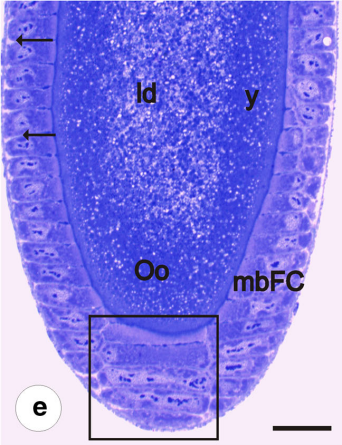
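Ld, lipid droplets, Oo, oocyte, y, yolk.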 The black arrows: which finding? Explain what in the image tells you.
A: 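Thin clear gaps separate neighbouring cells of the epithelium at the arrows. The epithelium is a single layer around the oocyte.
Conclusion: epithelial patency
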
